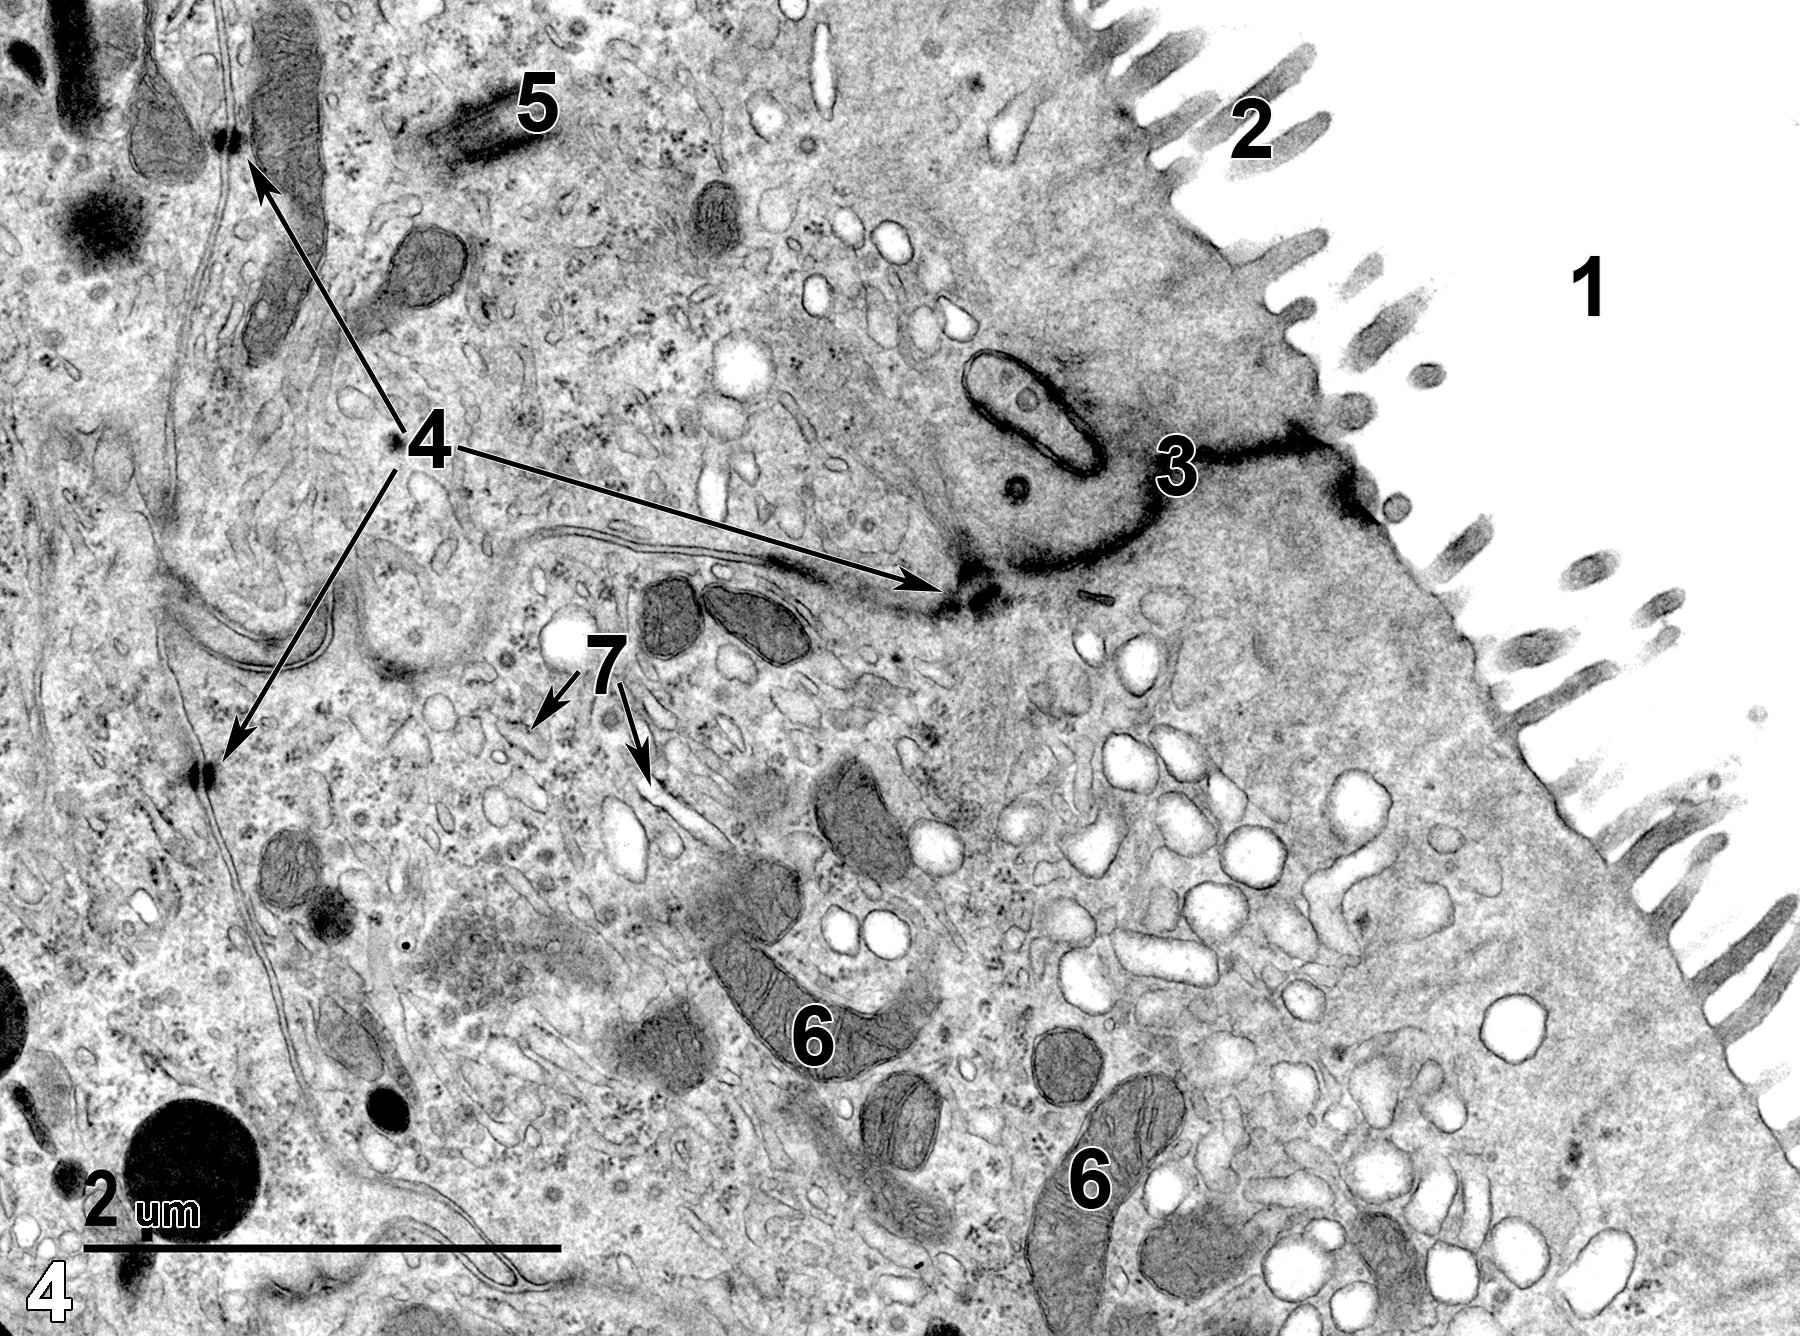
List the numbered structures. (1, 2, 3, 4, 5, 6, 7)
1. uterine lumen
2. microvilli
3. long junctional complex
4. desmosomes
5. single centriole
6. mitochondria
7. rough endoplasmic reticulum elements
